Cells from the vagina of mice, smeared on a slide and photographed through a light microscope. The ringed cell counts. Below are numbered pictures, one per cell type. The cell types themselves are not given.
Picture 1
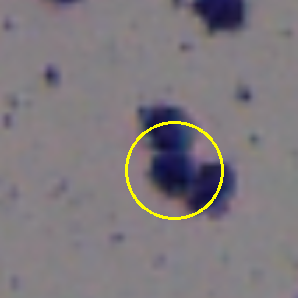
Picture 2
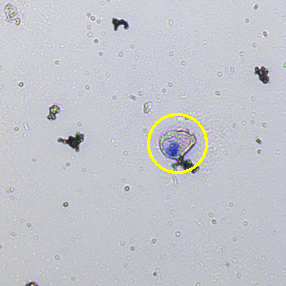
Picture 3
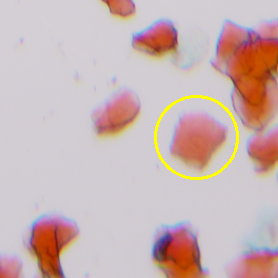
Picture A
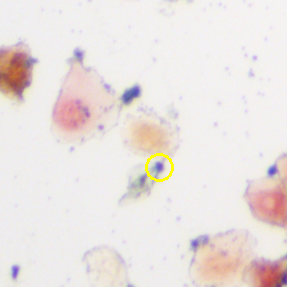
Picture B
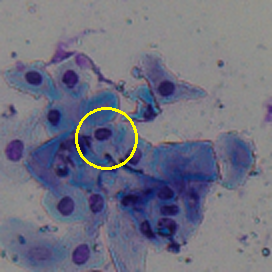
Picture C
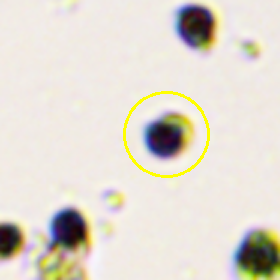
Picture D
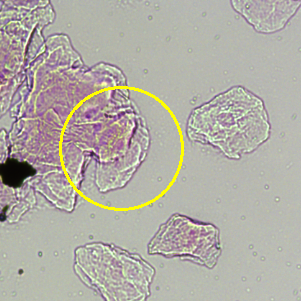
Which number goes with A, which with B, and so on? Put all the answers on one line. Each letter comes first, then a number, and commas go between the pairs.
A 1, B 2, C 1, D 3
